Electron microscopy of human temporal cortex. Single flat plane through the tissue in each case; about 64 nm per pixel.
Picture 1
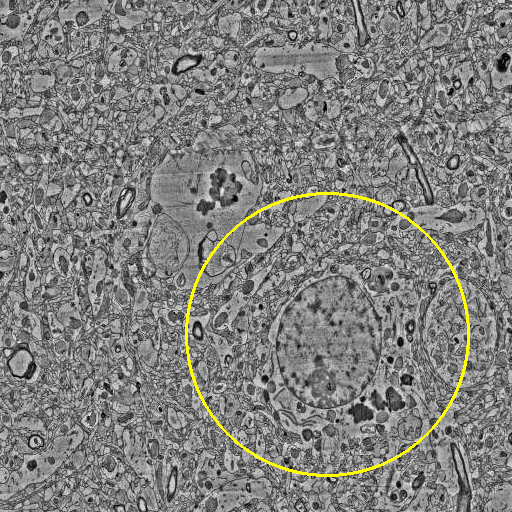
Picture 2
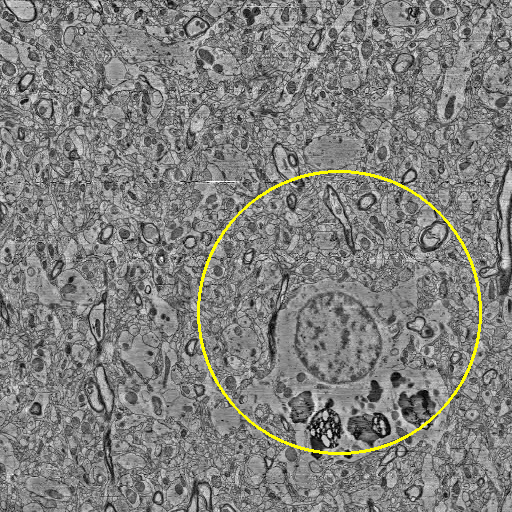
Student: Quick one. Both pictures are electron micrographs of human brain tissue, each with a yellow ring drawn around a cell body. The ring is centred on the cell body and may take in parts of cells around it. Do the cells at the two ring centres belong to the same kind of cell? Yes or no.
yes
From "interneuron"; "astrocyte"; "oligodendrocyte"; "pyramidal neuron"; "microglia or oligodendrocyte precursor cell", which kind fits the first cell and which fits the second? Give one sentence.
In each picture the ringed cell is an astrocyte.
